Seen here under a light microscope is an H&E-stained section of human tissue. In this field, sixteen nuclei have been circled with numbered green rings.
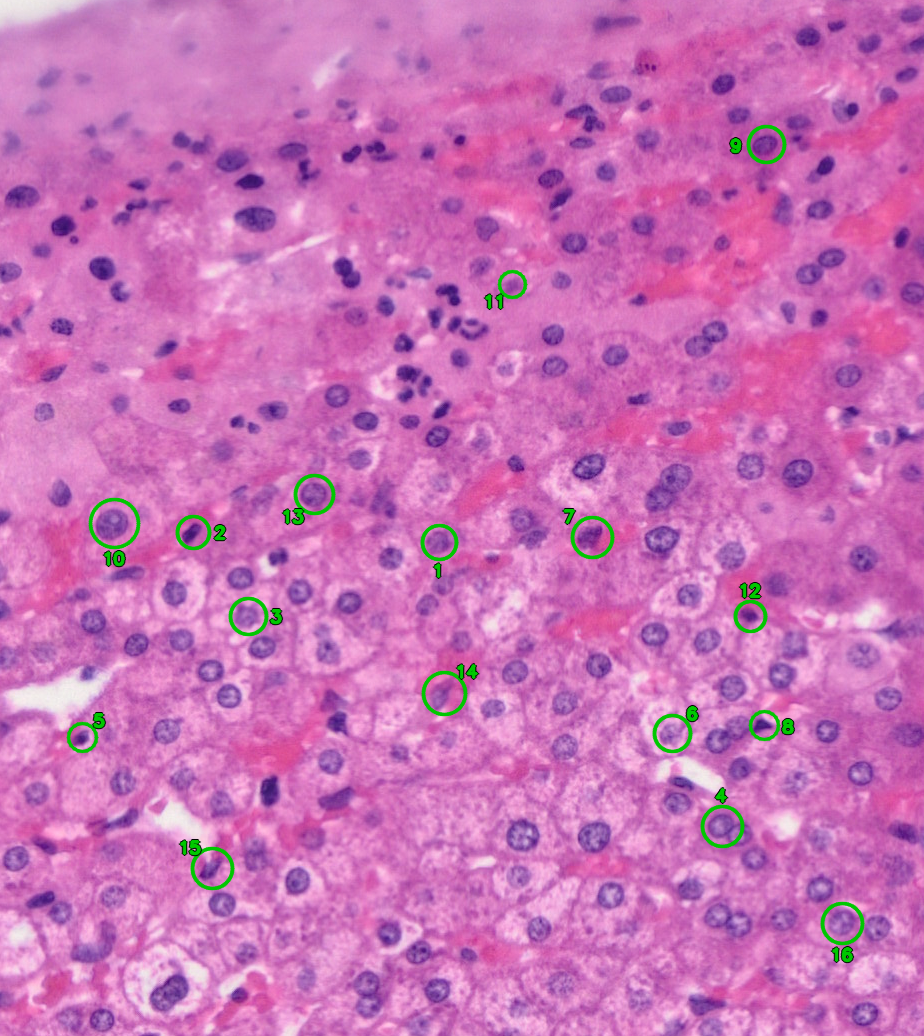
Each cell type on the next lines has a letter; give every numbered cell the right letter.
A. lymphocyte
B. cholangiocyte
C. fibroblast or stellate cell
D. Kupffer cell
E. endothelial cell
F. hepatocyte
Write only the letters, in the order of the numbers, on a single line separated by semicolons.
F; A; F; F; A; F; E; C; F; F; F; C; F; D; C; F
